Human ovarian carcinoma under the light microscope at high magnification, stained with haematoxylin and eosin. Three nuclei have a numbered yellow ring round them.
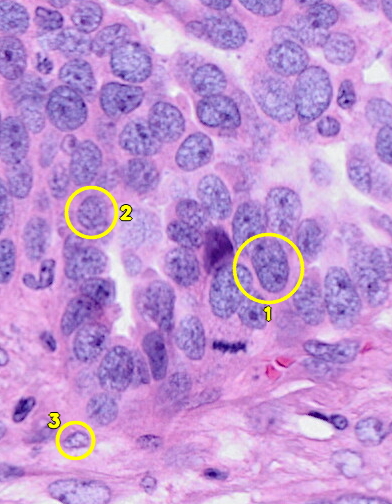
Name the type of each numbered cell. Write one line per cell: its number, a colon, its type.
1: carcinoma cell
2: carcinoma cell
3: fibroblast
